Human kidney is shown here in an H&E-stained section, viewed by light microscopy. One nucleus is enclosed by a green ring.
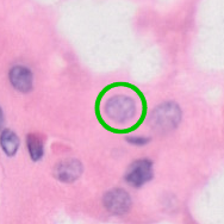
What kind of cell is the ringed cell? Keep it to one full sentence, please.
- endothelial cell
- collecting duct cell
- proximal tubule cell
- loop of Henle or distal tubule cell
Students should answer that the ringed cell is a proximal tubule cell.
